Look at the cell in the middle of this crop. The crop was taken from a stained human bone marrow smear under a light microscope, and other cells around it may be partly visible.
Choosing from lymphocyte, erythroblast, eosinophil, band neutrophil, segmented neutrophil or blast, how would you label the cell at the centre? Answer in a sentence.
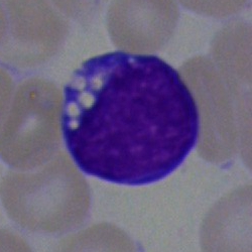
This crop's central cell is a blast.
